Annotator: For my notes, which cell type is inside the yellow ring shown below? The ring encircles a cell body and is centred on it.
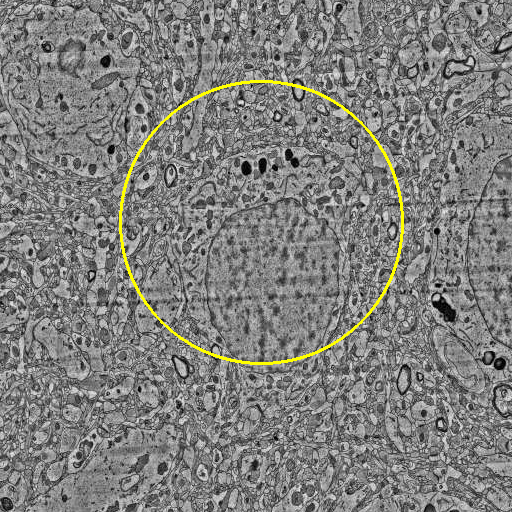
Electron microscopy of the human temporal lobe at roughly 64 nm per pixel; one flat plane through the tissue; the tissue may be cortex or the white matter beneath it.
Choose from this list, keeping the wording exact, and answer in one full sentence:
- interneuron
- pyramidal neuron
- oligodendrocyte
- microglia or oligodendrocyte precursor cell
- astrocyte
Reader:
At the centre of the yellow ring there is an interneuron, as shown in the picture.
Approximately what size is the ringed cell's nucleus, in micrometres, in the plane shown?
In this plane the nucleus is about 11 micrometres by 9.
